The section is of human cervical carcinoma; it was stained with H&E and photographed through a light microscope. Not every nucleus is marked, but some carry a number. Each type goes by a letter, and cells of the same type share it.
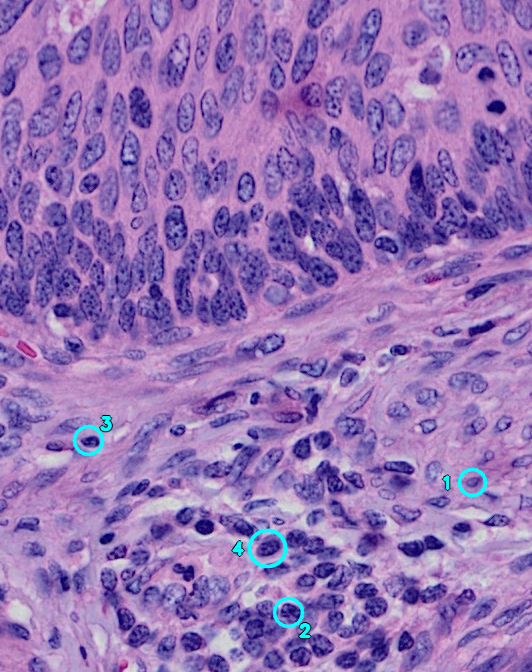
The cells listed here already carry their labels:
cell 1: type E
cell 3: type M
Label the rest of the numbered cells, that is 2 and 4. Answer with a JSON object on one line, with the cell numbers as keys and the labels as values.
{"2": "type M", "4": "type M"}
